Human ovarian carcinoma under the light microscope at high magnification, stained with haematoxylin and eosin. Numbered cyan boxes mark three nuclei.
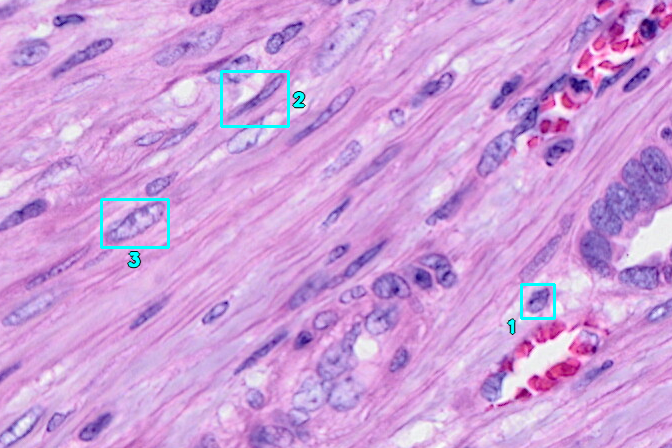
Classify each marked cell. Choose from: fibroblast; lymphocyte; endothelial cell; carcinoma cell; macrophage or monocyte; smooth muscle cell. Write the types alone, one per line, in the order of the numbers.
macrophage or monocyte
fibroblast
fibroblast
